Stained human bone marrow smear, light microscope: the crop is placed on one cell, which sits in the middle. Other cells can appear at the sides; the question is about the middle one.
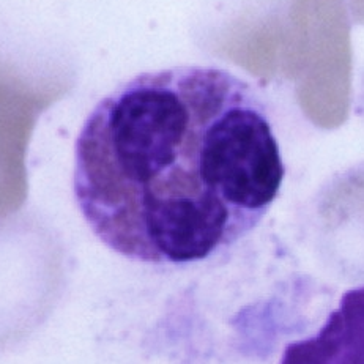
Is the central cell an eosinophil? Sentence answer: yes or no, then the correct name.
Yes, that is an eosinophil in the middle of the crop.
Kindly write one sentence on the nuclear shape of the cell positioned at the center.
Its nucleus is lobed, with at least two separate segments.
